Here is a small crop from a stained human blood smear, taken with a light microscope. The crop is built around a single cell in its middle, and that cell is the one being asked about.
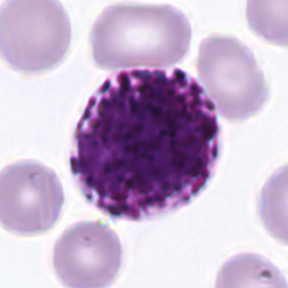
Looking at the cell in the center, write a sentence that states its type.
The central cell shown in this smear crop is a basophil.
